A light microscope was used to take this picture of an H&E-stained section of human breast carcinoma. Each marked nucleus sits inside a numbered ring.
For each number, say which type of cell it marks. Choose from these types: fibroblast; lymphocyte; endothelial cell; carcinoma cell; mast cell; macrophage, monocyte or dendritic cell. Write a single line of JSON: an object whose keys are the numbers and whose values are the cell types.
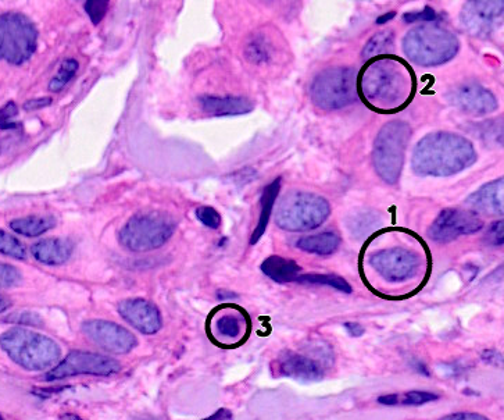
{"1": "carcinoma cell", "2": "carcinoma cell", "3": "mast cell"}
